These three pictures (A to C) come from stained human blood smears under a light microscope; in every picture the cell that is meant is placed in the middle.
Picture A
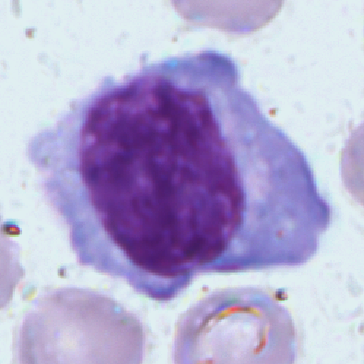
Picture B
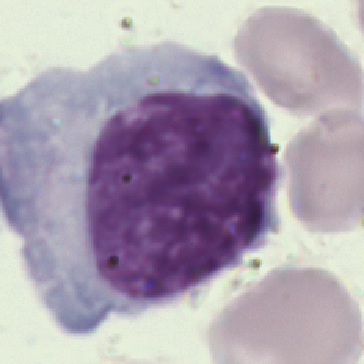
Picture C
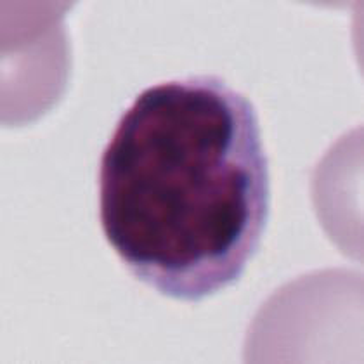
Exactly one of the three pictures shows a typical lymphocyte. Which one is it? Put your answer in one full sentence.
Picture C is the one that shows the typical lymphocyte.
